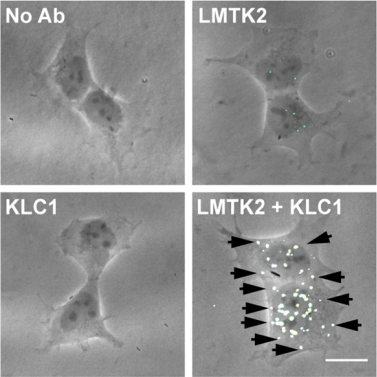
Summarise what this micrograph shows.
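These are flat cultured cells in four phase-contrast fields, spread with irregular outlines and thin lamellar edges, each with a darker central oval nucleus. In one field, numerous pale dots, marked by black arrows, are scattered over the cell bodies. In the other fields such dots are few or absent.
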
